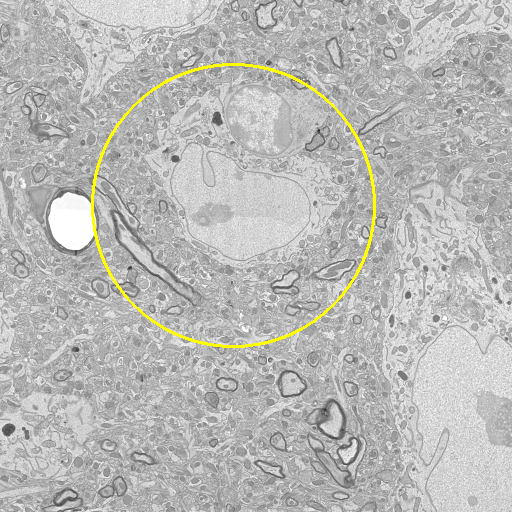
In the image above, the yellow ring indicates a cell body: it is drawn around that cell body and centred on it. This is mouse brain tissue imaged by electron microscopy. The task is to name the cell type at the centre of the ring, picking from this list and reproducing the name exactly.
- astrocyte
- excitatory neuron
excitatory neuron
